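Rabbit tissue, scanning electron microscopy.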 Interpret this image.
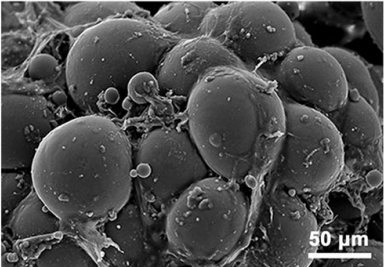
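A surface view shows a cluster of large, smooth, rounded cells packed closely against one another, each bulging like a balloon, with a few much smaller spheres scattered on their surfaces. Fine fibrous strands and thin sheets stretch across and between the cells, tethering them together.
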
